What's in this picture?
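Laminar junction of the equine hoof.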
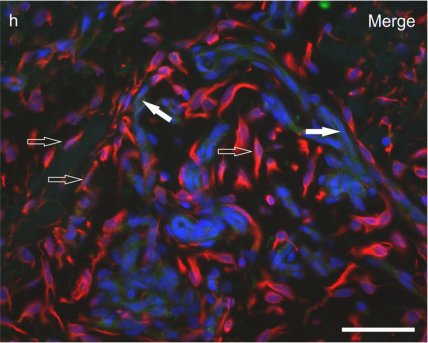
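Dermal connective tissue holds numerous spindle-shaped and stellate fibroblasts stained red, each with an elongated blue nucleus. Several curved, ring-like vessel profiles are lined by flattened cells with elongated nuclei and a faint green tint. The fibroblasts lie scattered and loosely arranged between the vessels, many with slender red processes. Clusters of blue nuclei mark the vessel walls.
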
